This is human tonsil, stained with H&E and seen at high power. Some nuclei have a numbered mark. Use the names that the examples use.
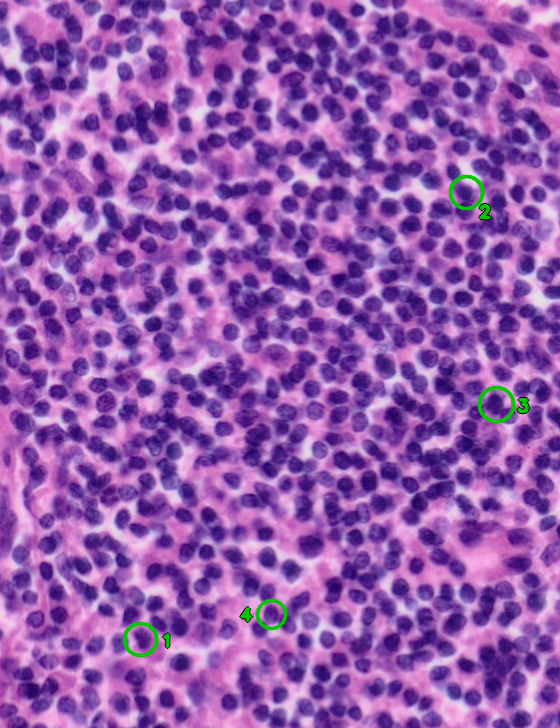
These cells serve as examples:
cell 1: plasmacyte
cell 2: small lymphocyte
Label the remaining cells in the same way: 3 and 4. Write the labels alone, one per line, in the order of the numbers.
small lymphocyte
small lymphocyte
